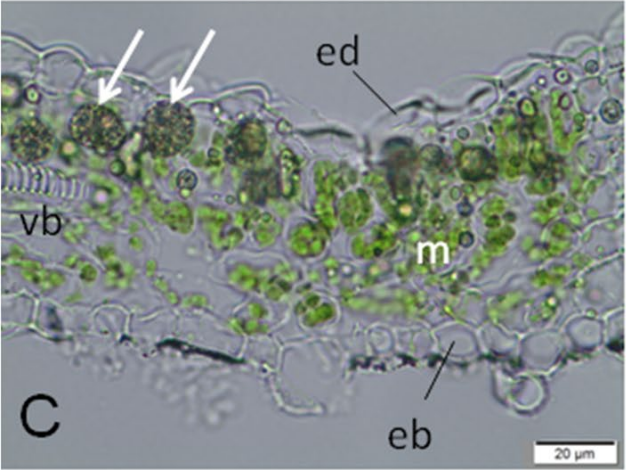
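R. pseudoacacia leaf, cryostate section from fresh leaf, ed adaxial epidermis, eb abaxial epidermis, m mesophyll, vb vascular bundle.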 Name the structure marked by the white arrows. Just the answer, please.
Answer: heterogeneous material in form of balls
